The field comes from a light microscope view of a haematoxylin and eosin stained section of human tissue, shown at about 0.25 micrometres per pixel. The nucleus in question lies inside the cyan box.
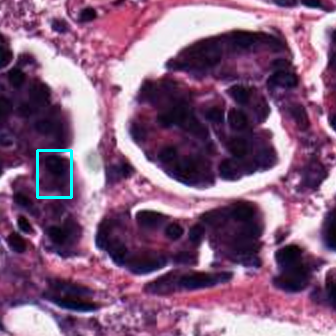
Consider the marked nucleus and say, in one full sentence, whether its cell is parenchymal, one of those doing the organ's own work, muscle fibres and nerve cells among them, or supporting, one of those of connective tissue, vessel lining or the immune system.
Belonging to a parenchymal cell, the marked nucleus is that of a pancreatic acinar cell.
